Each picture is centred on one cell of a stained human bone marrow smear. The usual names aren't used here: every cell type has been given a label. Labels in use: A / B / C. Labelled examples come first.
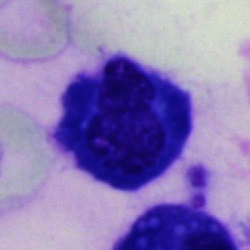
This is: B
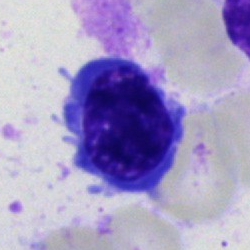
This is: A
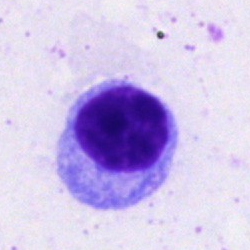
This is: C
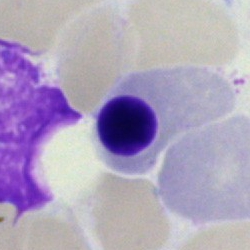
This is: A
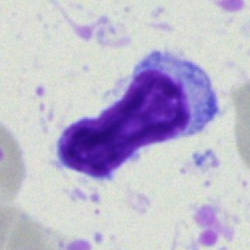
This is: C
